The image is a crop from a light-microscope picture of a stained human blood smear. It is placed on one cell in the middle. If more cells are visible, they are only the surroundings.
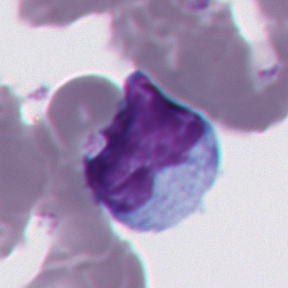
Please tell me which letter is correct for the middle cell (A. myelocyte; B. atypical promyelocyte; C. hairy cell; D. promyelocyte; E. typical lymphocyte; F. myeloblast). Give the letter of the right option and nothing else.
E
